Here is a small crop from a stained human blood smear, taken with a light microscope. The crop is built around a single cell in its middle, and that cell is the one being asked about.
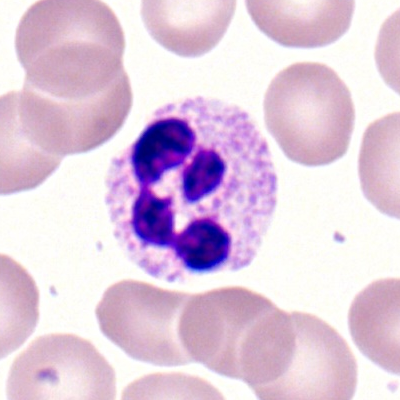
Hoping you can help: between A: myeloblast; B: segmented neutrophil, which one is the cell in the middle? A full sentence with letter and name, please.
Of the options given, B is correct, the central cell being a segmented neutrophil.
